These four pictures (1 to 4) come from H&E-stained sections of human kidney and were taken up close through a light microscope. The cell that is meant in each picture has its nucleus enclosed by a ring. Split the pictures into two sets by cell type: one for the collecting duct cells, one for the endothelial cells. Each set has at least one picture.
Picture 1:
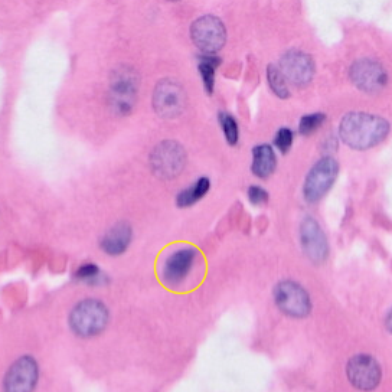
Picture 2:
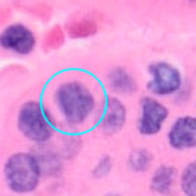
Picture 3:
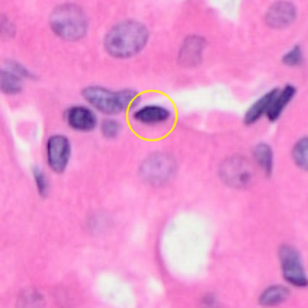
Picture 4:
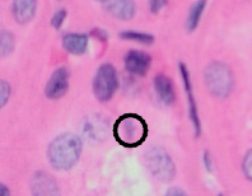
1: endothelial cell
2: collecting duct cell
3: endothelial cell
4: collecting duct cell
